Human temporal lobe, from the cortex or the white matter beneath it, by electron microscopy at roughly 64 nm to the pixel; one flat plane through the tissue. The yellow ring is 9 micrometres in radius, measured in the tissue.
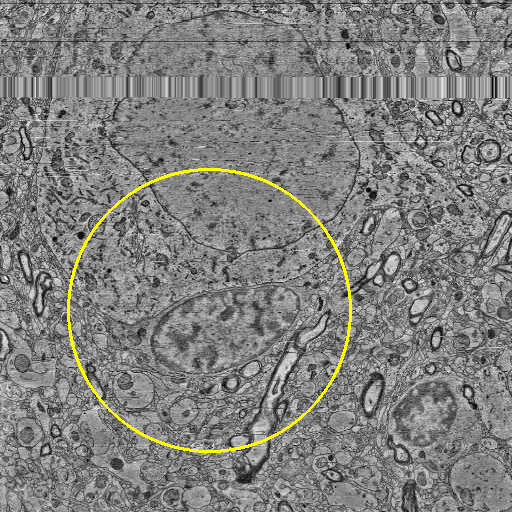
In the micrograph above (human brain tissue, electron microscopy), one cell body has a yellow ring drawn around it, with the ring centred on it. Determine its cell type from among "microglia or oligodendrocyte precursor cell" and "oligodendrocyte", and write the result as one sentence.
The cell whose body is ringed is an oligodendrocyte.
